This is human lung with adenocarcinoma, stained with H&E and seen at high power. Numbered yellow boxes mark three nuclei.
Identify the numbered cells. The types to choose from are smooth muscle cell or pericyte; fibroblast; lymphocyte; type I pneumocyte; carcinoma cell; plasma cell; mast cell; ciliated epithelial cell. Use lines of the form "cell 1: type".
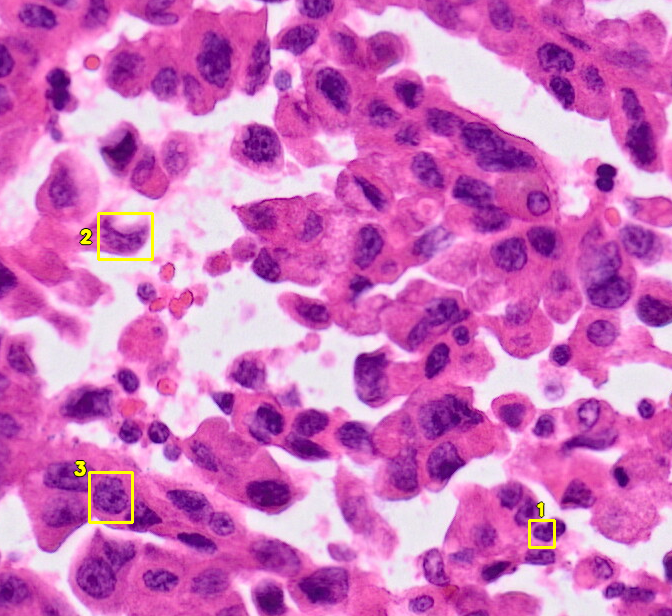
cell 1: lymphocyte
cell 2: carcinoma cell
cell 3: carcinoma cell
